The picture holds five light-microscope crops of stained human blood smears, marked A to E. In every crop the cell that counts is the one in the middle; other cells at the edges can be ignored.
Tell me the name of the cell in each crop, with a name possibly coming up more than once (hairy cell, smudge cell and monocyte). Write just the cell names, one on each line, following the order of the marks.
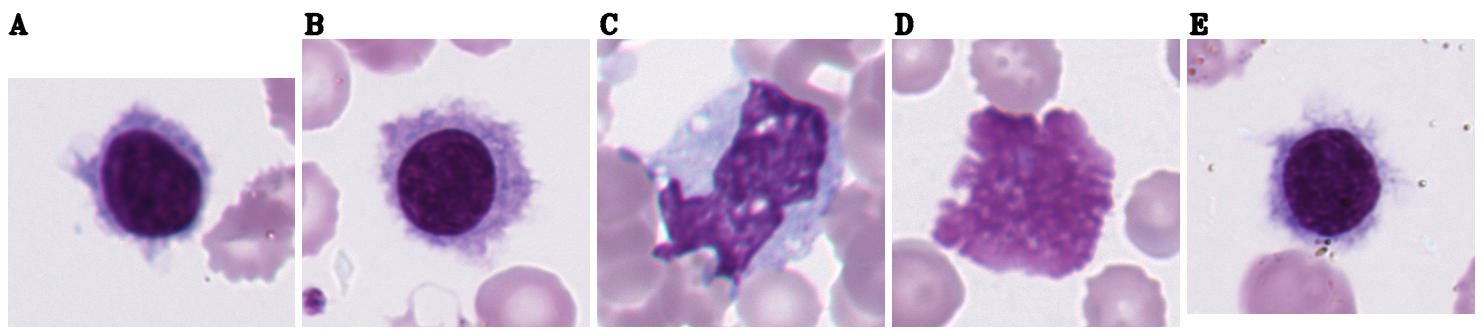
hairy cell
hairy cell
monocyte
smudge cell
hairy cell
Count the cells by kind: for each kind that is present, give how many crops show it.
hairy cell: 3
monocyte: 1
smudge cell: 1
